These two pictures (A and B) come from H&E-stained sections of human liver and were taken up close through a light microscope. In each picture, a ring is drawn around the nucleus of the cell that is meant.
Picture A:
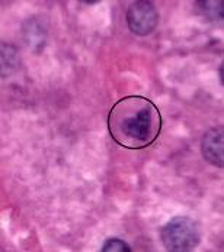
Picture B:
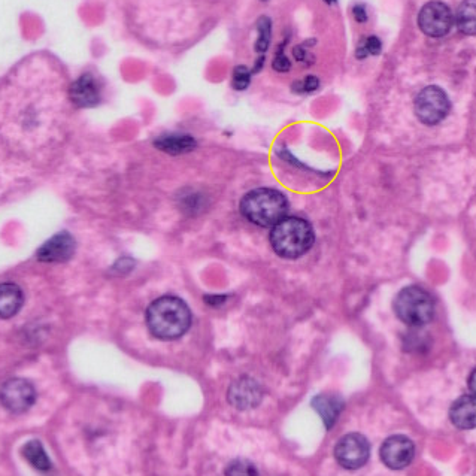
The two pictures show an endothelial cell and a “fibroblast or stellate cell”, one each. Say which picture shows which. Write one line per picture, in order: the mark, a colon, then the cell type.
A: fibroblast or stellate cell
B: endothelial cell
